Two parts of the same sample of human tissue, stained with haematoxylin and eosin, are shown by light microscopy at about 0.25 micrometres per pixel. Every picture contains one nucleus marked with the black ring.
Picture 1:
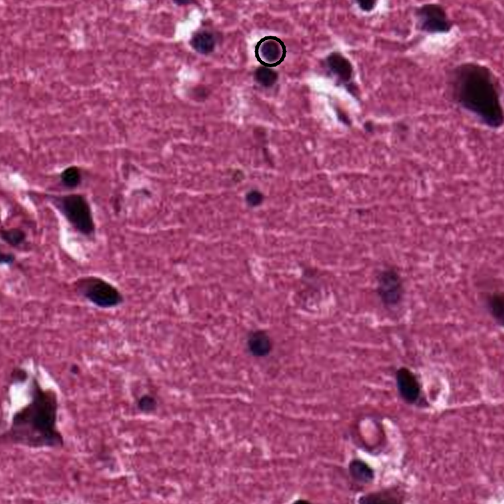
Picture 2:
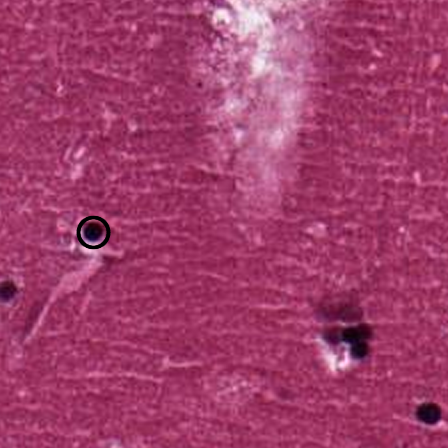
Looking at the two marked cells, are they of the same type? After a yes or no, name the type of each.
Yes, both are oligodendrocytes.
